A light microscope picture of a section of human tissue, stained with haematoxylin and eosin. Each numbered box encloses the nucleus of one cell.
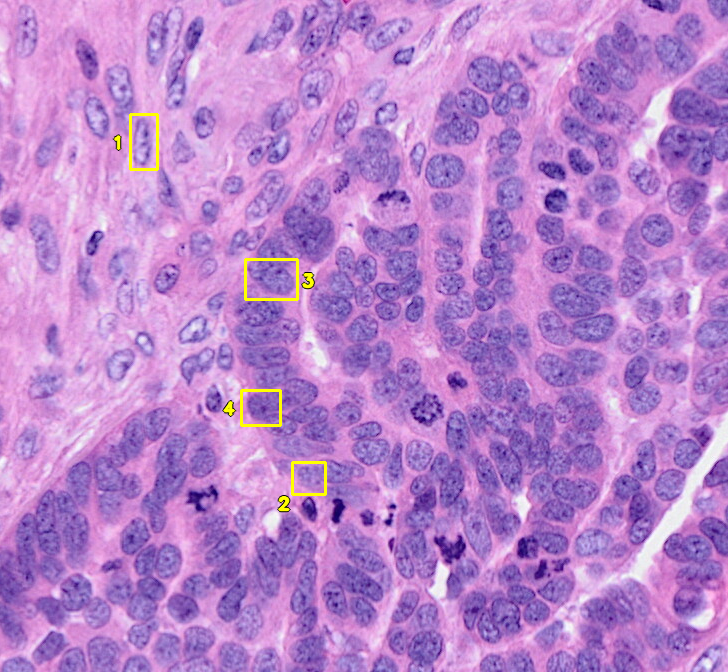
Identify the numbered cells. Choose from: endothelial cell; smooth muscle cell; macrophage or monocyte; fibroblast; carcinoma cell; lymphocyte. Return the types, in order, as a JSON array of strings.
["fibroblast", "carcinoma cell", "carcinoma cell", "carcinoma cell"]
